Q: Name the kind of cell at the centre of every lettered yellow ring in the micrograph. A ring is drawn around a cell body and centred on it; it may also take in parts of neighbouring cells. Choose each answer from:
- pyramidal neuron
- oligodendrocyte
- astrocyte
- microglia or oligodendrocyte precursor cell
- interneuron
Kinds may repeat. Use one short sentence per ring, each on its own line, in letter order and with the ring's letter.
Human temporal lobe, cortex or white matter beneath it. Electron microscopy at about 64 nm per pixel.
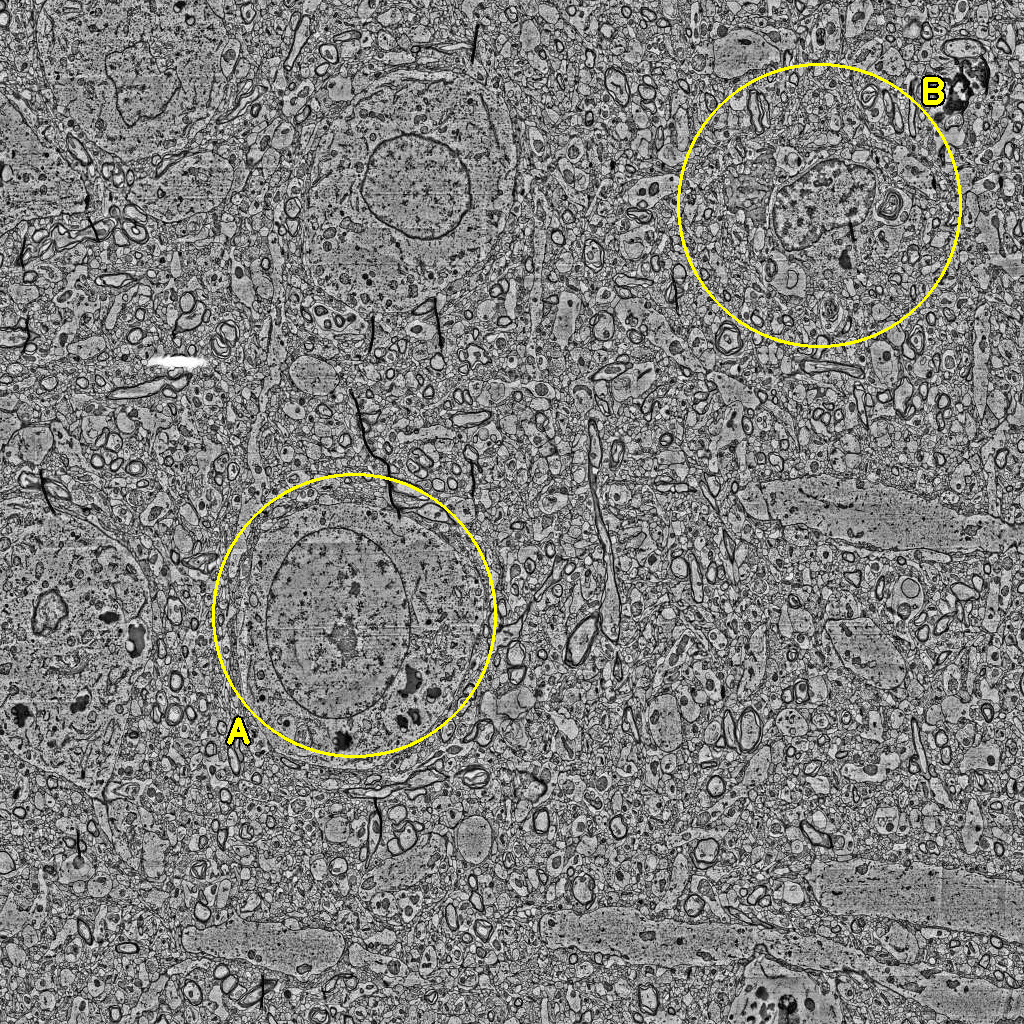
Ring A is placed around a pyramidal neuron.
Ring B is placed around an oligodendrocyte.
